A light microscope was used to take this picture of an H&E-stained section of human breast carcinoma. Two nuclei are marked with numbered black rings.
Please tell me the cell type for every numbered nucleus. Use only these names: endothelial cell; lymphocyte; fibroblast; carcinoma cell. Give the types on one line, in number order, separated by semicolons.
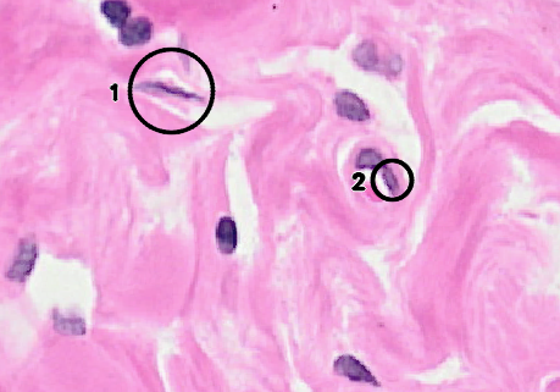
fibroblast; endothelial cell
